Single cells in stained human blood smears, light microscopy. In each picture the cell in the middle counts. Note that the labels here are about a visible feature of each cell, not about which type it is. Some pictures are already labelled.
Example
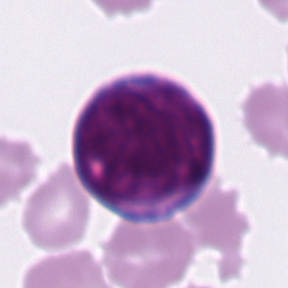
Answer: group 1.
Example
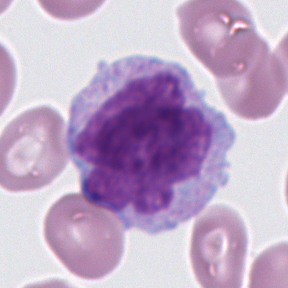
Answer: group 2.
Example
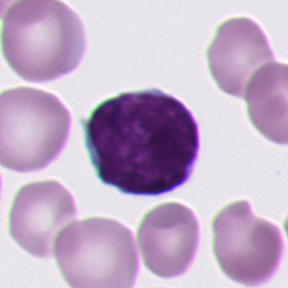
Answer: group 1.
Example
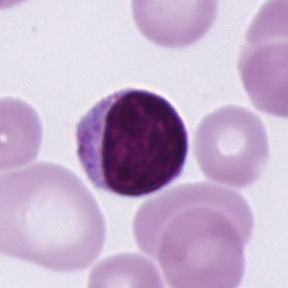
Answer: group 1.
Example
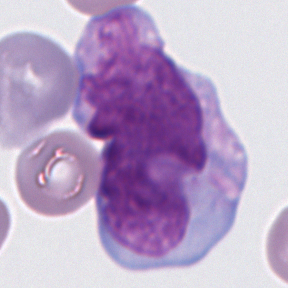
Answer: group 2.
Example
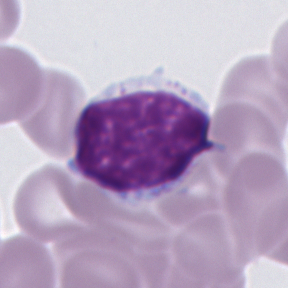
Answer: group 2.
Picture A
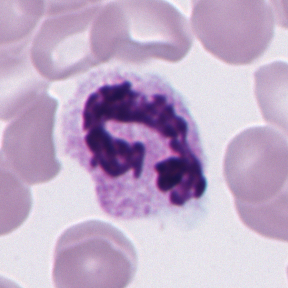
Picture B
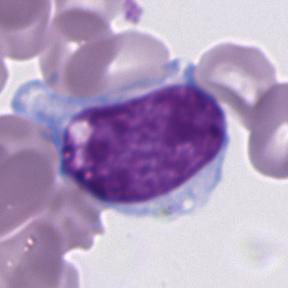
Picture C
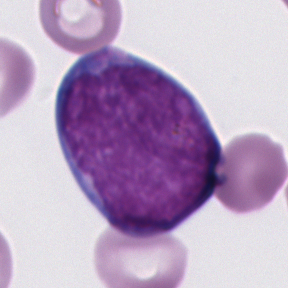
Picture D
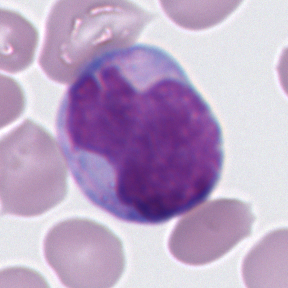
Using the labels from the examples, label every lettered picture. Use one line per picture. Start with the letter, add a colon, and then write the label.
A: group 1.
B: group 2.
C: group 1.
D: group 1.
